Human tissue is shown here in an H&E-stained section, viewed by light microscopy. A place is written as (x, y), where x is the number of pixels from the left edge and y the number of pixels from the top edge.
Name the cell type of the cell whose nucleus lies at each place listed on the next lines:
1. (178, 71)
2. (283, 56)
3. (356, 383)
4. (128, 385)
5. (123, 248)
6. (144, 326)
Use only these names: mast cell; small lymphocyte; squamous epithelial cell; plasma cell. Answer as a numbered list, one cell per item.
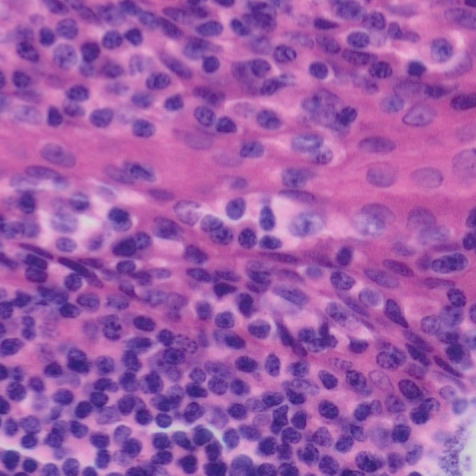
1. squamous epithelial cell
2. plasma cell
3. plasma cell
4. small lymphocyte
5. squamous epithelial cell
6. plasma cell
